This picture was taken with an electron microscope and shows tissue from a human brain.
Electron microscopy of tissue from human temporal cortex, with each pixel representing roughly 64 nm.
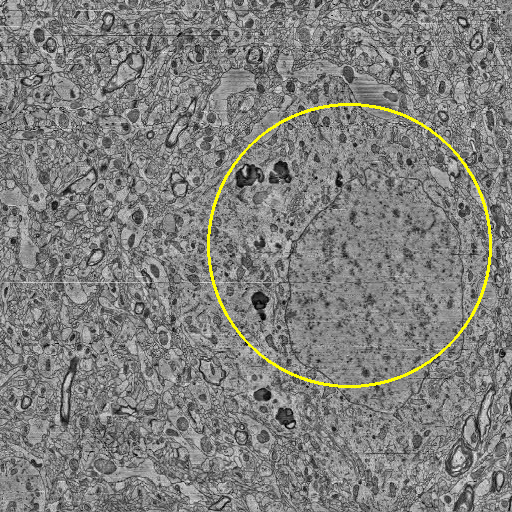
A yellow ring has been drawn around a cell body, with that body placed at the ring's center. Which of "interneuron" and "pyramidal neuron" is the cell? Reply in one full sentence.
In this picture, a pyramidal neuron is the cell at the center of the yellow ring.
